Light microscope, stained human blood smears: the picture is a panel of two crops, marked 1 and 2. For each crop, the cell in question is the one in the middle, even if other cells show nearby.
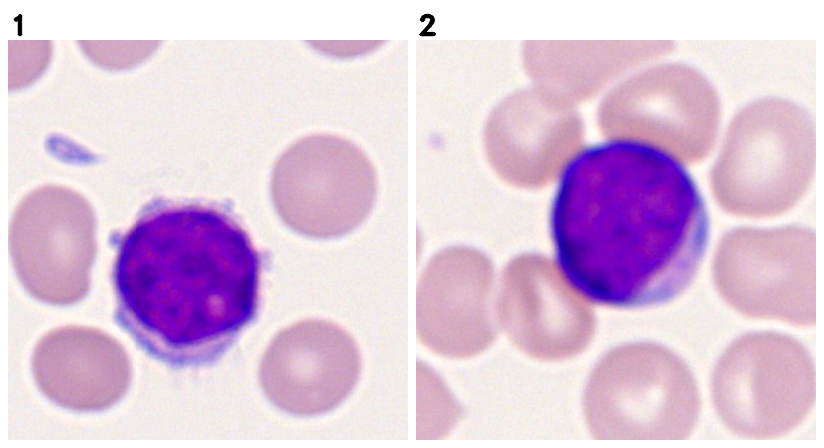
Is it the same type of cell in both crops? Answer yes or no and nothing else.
no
